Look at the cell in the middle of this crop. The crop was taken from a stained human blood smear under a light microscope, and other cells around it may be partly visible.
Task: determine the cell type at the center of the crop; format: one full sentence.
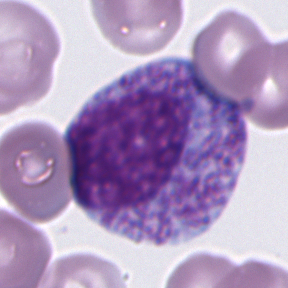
The center cell of this crop is a myelocyte.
